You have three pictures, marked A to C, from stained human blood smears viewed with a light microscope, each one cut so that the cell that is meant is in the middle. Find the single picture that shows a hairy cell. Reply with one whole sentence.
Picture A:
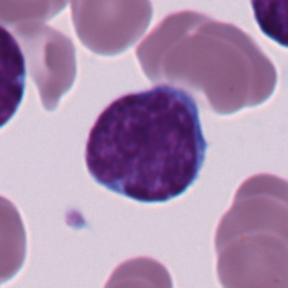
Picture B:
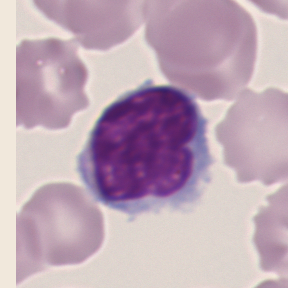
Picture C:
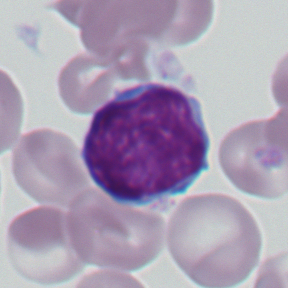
It is picture B that shows the hairy cell.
